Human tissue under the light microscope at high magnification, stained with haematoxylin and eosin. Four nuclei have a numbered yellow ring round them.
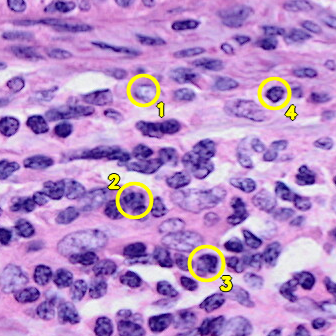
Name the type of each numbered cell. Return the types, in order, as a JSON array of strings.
["endothelial cell", "lymphocyte", "lymphocyte", "lymphocyte"]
